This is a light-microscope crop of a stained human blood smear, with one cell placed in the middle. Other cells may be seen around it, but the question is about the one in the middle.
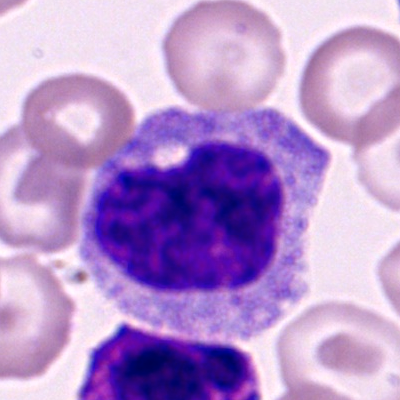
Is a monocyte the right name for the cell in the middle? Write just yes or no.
yes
